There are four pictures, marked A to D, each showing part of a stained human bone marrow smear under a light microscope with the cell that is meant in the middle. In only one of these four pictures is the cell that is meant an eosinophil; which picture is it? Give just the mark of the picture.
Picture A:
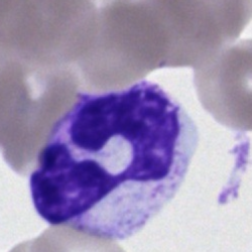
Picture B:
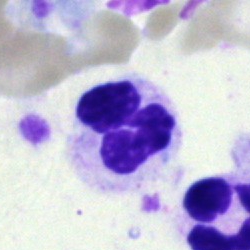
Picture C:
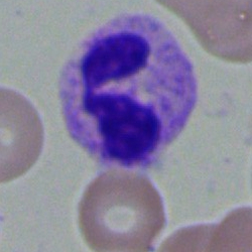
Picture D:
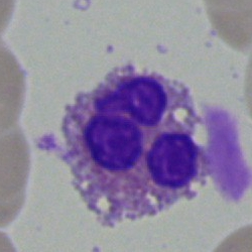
D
